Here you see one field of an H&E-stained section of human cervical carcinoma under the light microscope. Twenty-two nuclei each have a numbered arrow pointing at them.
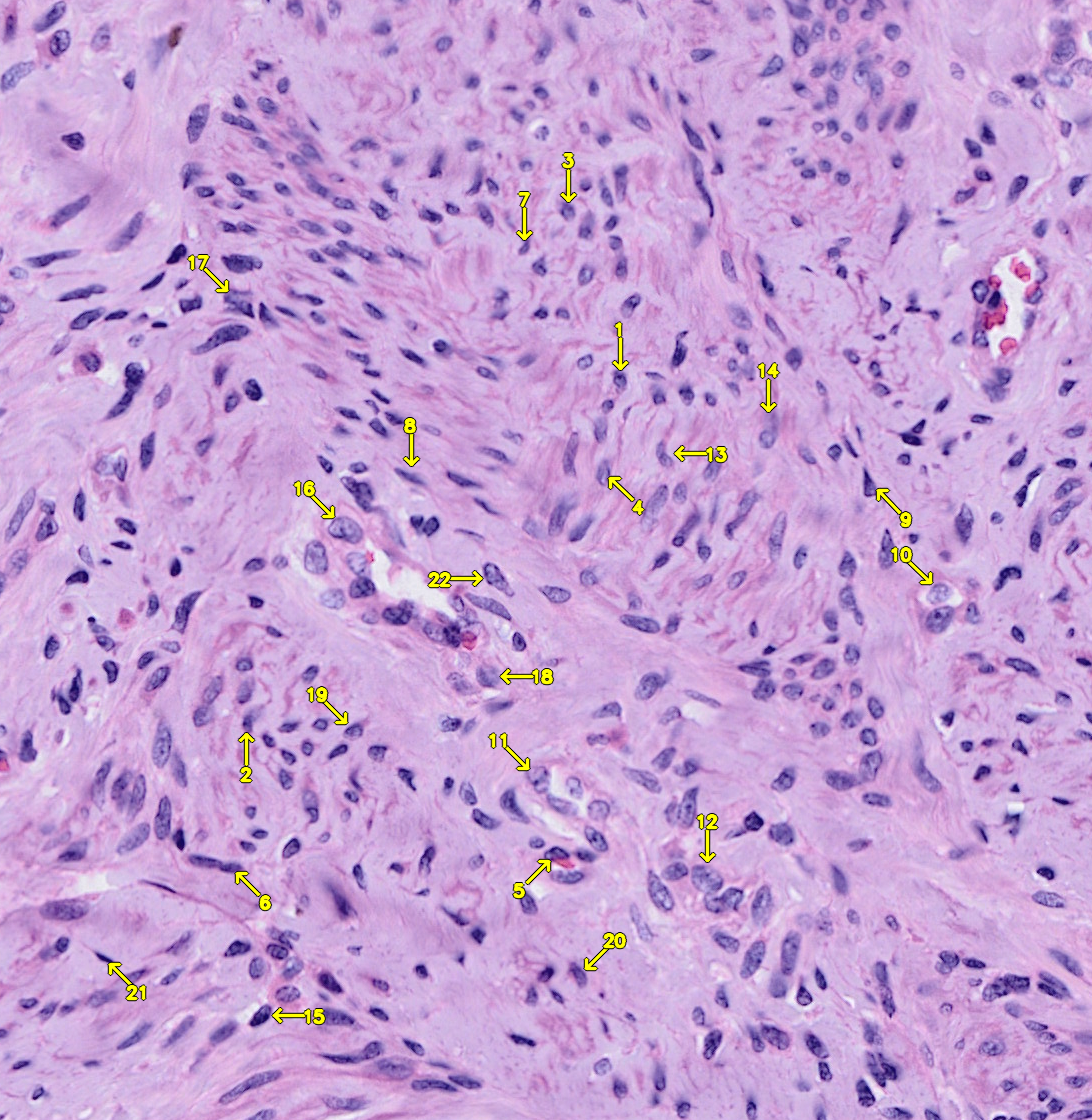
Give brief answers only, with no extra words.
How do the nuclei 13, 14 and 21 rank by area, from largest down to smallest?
14, 13, 21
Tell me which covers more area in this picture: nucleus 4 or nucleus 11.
11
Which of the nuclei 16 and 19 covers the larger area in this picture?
16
